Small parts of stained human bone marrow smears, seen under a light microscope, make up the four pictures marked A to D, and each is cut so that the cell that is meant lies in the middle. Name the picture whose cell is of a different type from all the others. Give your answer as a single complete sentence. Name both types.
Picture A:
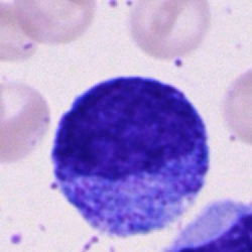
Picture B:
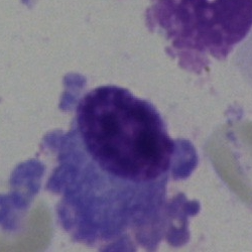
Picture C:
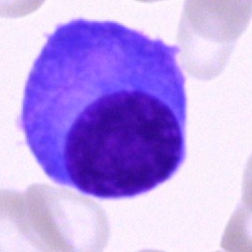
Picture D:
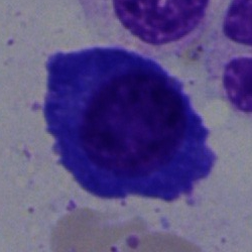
All pictures except A show plasma cells; picture A shows a promyelocyte.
